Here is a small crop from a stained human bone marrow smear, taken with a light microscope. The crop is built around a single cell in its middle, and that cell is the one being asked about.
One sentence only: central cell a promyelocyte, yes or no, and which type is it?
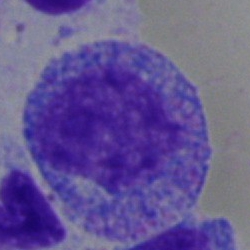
Yes, the cell in the middle of this smear crop is a promyelocyte.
